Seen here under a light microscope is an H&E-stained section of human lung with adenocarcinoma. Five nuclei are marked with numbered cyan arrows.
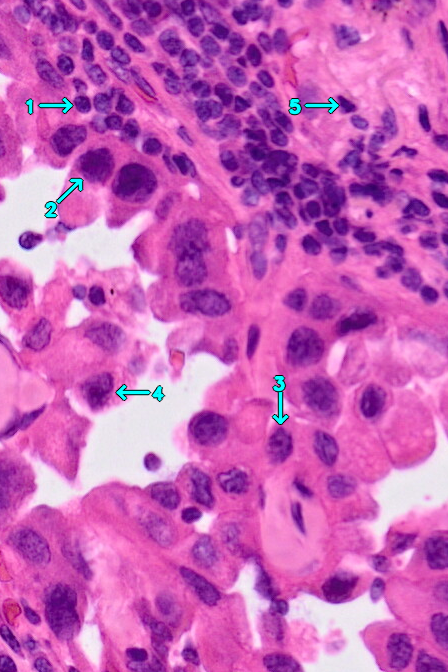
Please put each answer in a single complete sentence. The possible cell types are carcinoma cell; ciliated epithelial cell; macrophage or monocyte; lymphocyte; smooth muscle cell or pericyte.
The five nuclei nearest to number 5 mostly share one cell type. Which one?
Around number 5, most of the five nearest nuclei are those of lymphocytes.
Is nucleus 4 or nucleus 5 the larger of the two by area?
Nucleus 4 is the larger one, covering about 4 times the area of nucleus 5.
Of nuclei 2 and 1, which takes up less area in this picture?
Nucleus 1 covers less area, with nucleus 2 about 4 times as large.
